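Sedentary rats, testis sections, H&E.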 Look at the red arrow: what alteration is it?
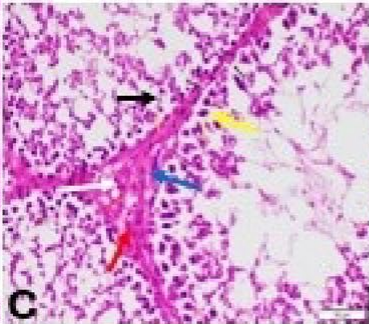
Congested blood vessels.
